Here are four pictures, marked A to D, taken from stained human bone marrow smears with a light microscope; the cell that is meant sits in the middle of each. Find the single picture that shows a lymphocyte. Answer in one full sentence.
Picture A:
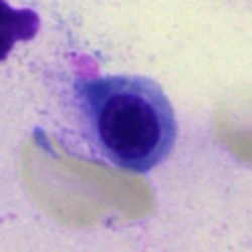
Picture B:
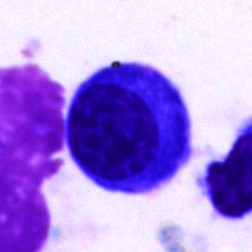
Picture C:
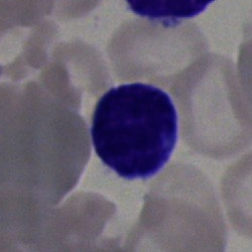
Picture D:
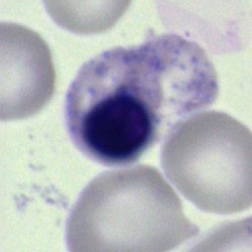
The picture with the lymphocyte is C.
